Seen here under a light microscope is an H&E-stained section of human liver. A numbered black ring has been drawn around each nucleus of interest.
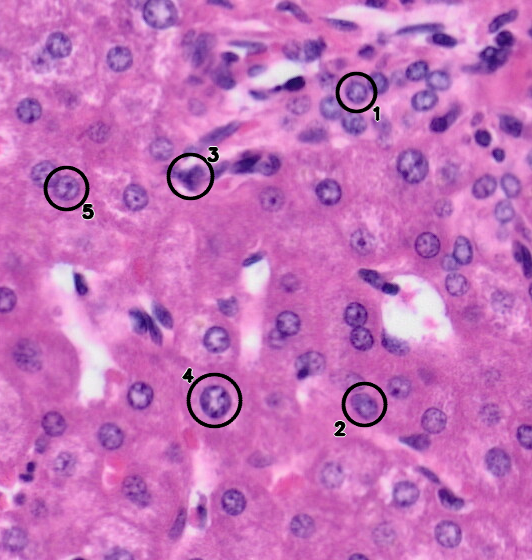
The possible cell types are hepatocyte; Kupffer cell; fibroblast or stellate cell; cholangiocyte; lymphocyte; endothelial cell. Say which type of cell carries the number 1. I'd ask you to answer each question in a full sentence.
Among the marked cells, number 1 is a cholangiocyte.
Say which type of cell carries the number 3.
The cell indicated with the number 3 is classed as a fibroblast or stellate cell.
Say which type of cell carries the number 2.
The cell assigned the number 2 is a cholangiocyte.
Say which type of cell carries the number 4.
The cell identified by the number 4 is a hepatocyte.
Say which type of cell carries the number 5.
Among the marked cells, number 5 is a hepatocyte.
